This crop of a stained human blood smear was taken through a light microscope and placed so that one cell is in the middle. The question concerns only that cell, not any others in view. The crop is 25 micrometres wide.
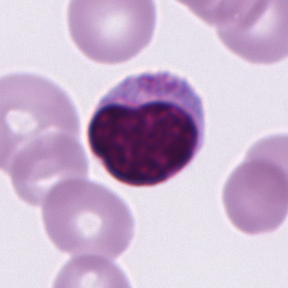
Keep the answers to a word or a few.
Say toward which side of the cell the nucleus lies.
bottom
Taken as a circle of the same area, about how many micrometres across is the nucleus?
8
